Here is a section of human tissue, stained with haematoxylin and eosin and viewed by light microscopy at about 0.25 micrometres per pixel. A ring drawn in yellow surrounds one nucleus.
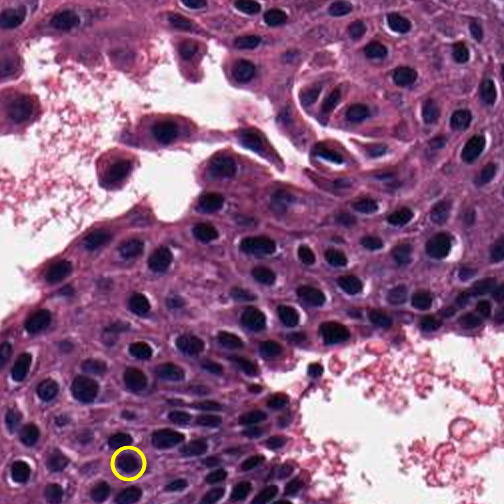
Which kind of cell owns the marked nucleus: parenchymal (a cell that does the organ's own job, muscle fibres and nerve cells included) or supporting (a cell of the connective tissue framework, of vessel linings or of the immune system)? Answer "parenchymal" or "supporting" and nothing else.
parenchymal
